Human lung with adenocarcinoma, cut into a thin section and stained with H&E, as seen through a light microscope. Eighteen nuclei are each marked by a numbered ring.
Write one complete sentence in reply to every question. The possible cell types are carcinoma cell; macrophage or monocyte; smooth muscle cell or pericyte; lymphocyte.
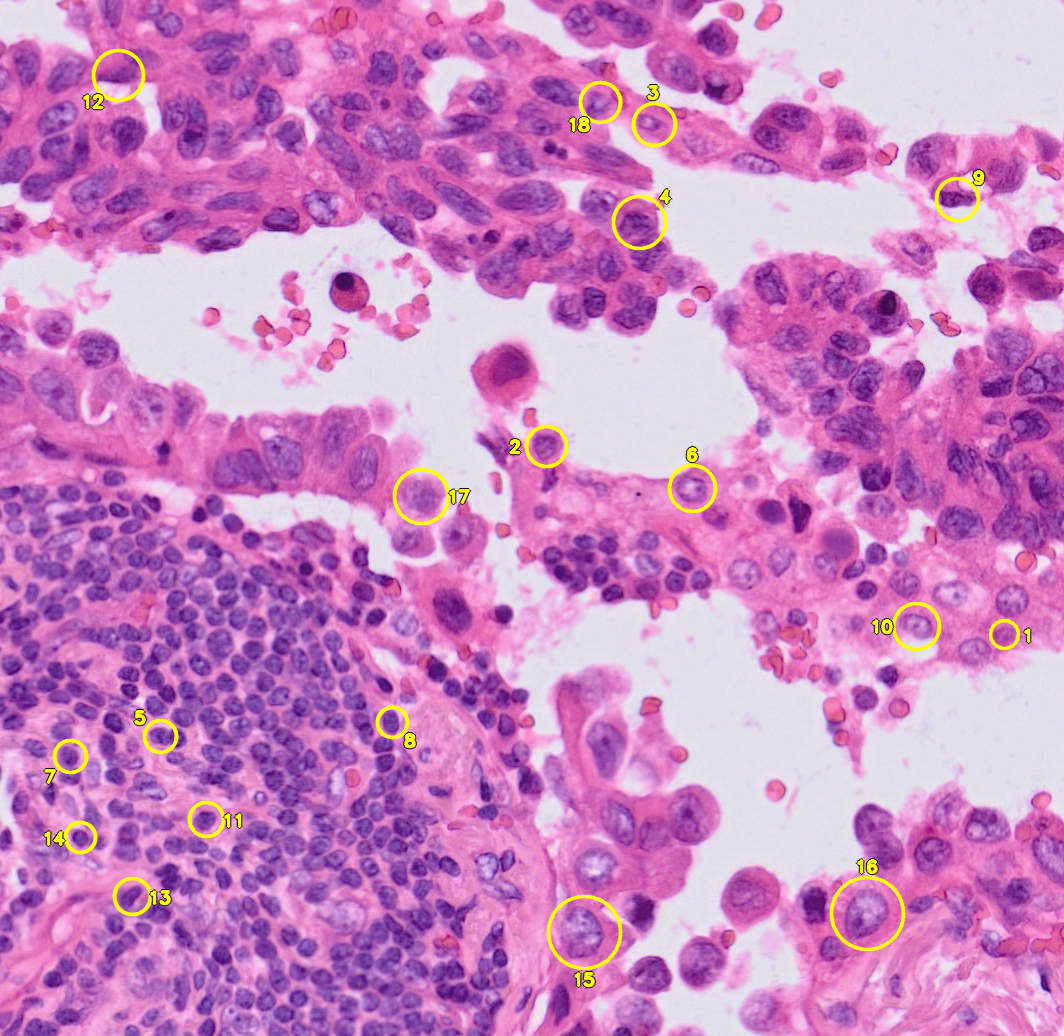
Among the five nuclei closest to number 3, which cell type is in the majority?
The majority of the five nuclei closest to number 3 belong to carcinoma cells.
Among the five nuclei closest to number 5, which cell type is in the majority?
The majority of the five nuclei closest to number 5 belong to lymphocytes.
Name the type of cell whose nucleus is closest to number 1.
Number 1 lies closest to the nucleus of a macrophage or monocyte.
